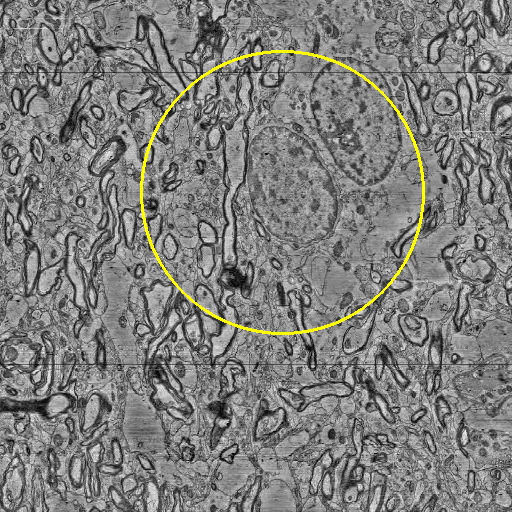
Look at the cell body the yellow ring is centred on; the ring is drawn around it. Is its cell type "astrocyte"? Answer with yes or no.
No, its cell type is another.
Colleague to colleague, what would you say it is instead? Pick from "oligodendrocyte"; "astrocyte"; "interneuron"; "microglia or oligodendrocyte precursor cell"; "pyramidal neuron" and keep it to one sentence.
It is an oligodendrocyte that the ring is centred on.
